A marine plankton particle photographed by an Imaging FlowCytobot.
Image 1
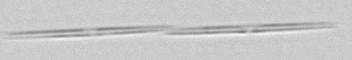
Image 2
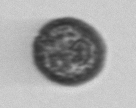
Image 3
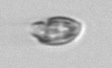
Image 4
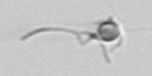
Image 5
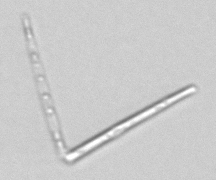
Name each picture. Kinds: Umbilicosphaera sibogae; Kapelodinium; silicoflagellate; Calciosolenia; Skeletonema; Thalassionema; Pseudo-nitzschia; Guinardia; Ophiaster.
(1) Pseudo-nitzschia
(2) Umbilicosphaera sibogae
(3) Kapelodinium
(4) Ophiaster
(5) Thalassionema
